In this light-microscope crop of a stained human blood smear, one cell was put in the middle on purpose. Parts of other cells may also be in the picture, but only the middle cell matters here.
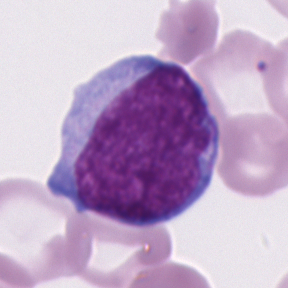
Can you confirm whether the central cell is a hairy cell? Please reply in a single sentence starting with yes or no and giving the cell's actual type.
No, in this crop the middle cell is a blast, not a hairy cell.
